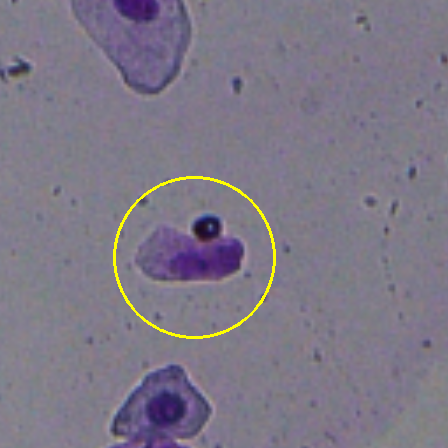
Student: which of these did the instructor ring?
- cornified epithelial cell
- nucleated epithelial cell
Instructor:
The cell I ringed is a cornified epithelial cell.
